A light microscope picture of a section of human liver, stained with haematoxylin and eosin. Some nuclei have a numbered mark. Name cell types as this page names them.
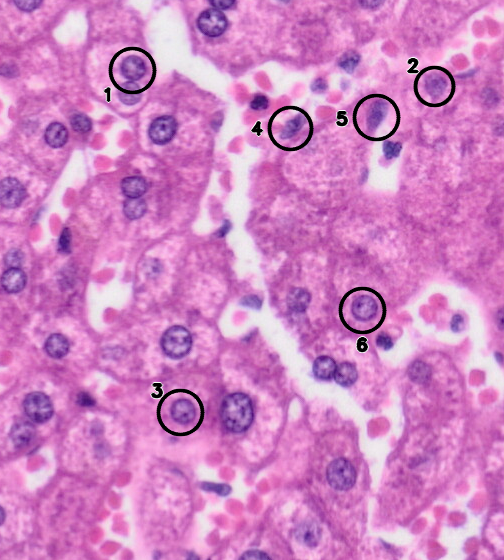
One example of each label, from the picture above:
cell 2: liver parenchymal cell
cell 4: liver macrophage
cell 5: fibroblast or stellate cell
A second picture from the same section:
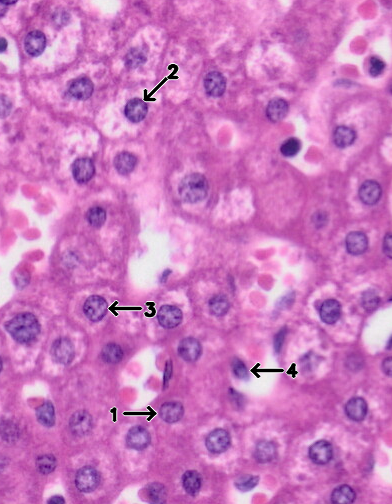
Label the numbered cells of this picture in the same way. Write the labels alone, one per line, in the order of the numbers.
liver parenchymal cell
liver parenchymal cell
liver parenchymal cell
liver macrophage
